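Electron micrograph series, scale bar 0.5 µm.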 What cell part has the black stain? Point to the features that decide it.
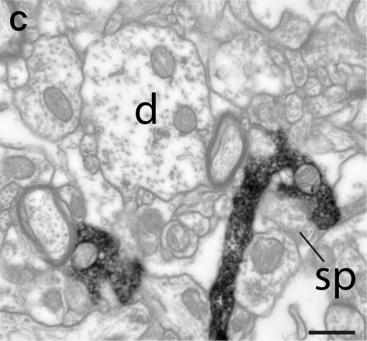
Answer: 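A long thin black-stained process runs vertically through the field. It widens into swellings that contact small pale profiles.
Conclusion: labeled axon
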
